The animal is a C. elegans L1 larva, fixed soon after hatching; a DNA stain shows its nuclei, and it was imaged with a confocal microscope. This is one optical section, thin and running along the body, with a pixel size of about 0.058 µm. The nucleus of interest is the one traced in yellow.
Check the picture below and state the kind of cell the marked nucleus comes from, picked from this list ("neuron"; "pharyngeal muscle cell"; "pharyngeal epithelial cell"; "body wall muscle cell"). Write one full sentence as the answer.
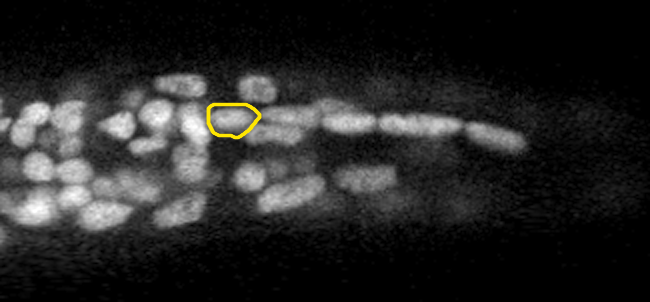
This nucleus is from a neuron.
